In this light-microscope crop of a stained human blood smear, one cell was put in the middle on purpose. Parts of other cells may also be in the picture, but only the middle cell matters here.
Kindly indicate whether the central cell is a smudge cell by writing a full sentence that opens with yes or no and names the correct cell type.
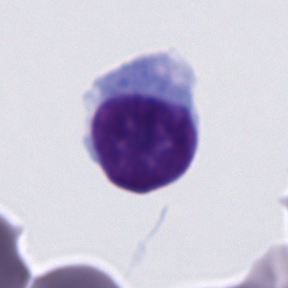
No, not a smudge cell here; the centered cell is a hairy cell.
